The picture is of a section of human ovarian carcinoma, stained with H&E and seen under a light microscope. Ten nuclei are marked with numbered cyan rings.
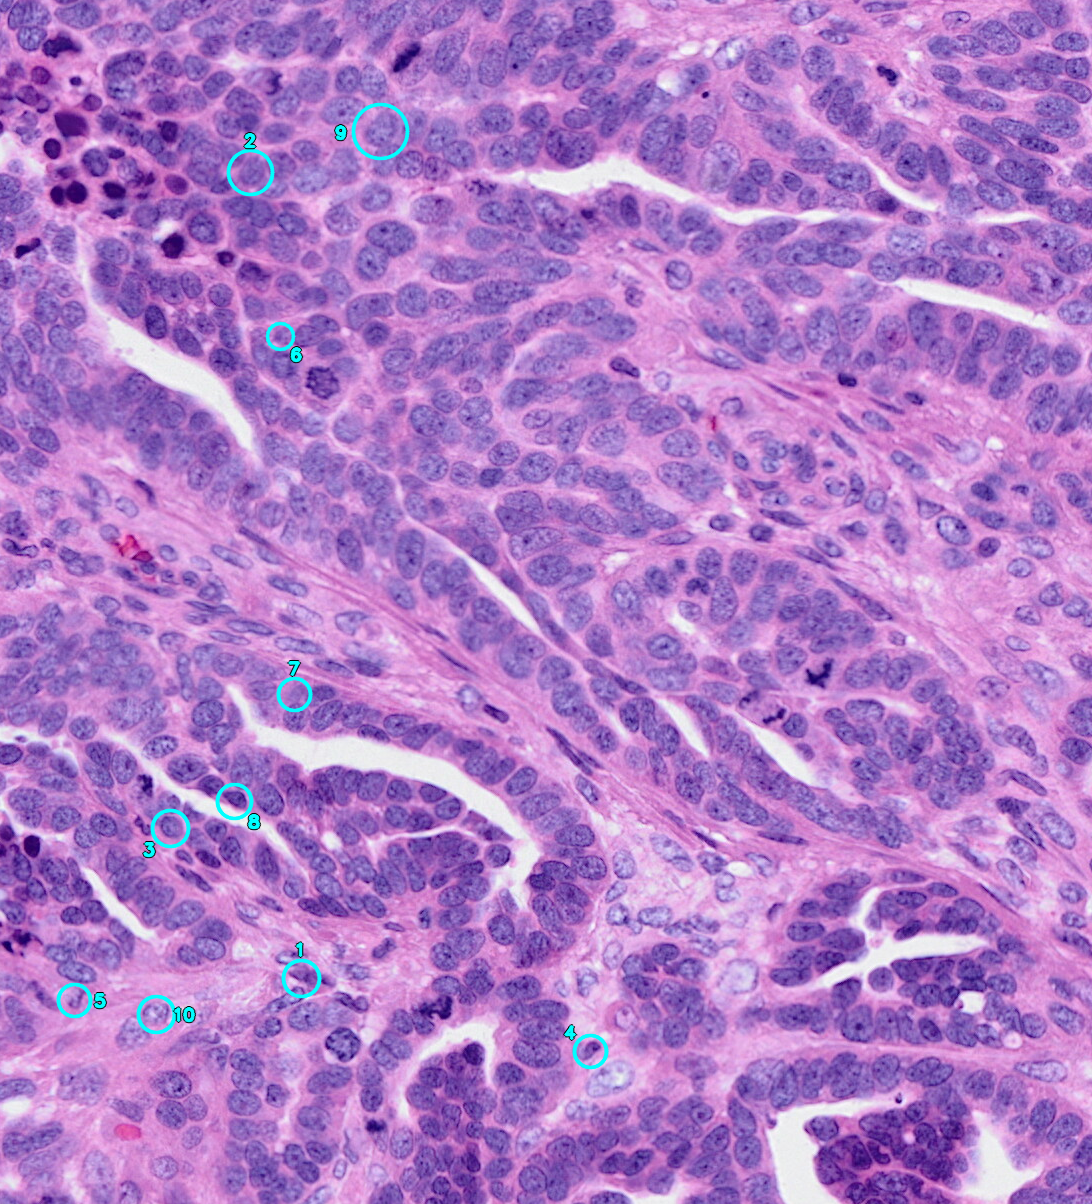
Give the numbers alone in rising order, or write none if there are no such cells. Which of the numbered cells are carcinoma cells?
2, 3, 6, 7, 8, 9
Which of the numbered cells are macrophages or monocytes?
4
